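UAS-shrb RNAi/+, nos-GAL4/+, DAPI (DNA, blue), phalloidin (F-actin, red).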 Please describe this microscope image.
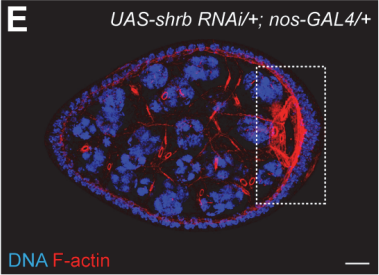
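An oval egg chamber crowded with germline nurse cells, with the oocyte at the right-hand, posterior end. A continuous layer of small follicular cells with small blue nuclei surrounds the chamber.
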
